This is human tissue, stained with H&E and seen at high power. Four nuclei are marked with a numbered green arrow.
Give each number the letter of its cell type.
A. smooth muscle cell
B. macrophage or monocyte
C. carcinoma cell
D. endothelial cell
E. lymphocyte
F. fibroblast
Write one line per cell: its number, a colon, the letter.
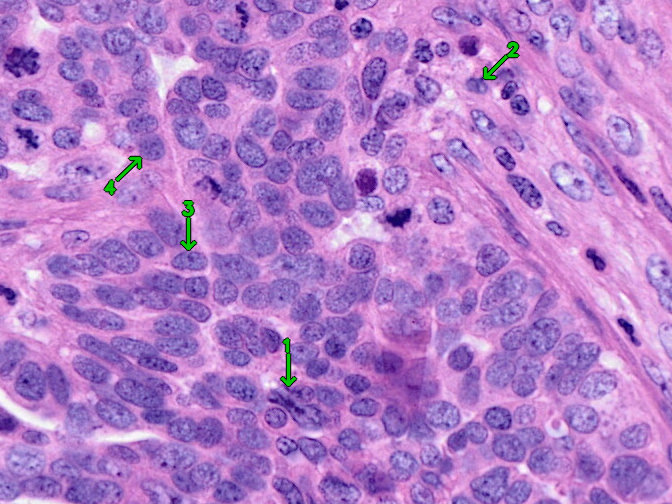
1: C
2: E
3: C
4: C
